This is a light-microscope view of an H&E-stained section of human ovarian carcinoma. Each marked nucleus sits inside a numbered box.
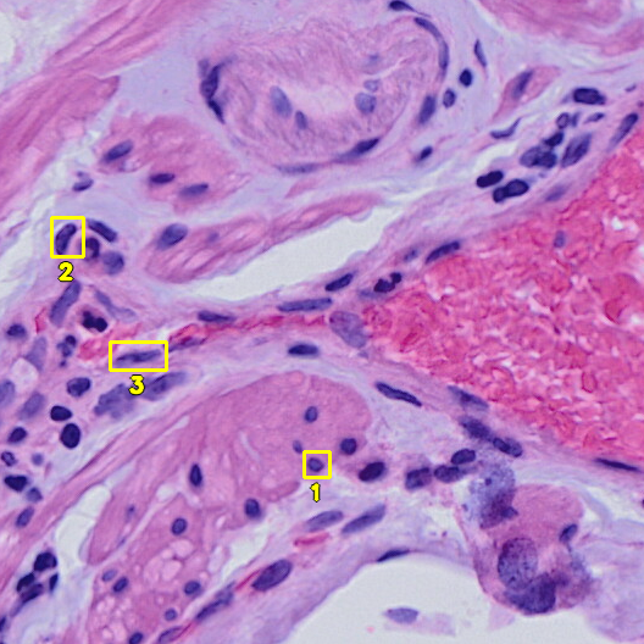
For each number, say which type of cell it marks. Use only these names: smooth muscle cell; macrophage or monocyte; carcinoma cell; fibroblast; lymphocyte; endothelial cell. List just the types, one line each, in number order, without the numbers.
smooth muscle cell
lymphocyte
endothelial cell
